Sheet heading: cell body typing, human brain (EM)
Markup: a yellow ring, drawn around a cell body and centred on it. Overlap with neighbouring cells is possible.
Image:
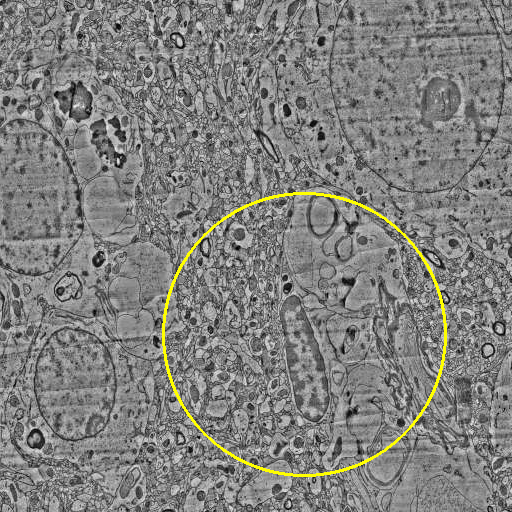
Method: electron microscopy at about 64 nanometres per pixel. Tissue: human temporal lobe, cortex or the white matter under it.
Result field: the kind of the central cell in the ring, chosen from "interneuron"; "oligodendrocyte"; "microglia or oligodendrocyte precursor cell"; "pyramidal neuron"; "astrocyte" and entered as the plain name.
microglia or oligodendrocyte precursor cell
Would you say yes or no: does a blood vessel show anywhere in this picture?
Yes, one is visible.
